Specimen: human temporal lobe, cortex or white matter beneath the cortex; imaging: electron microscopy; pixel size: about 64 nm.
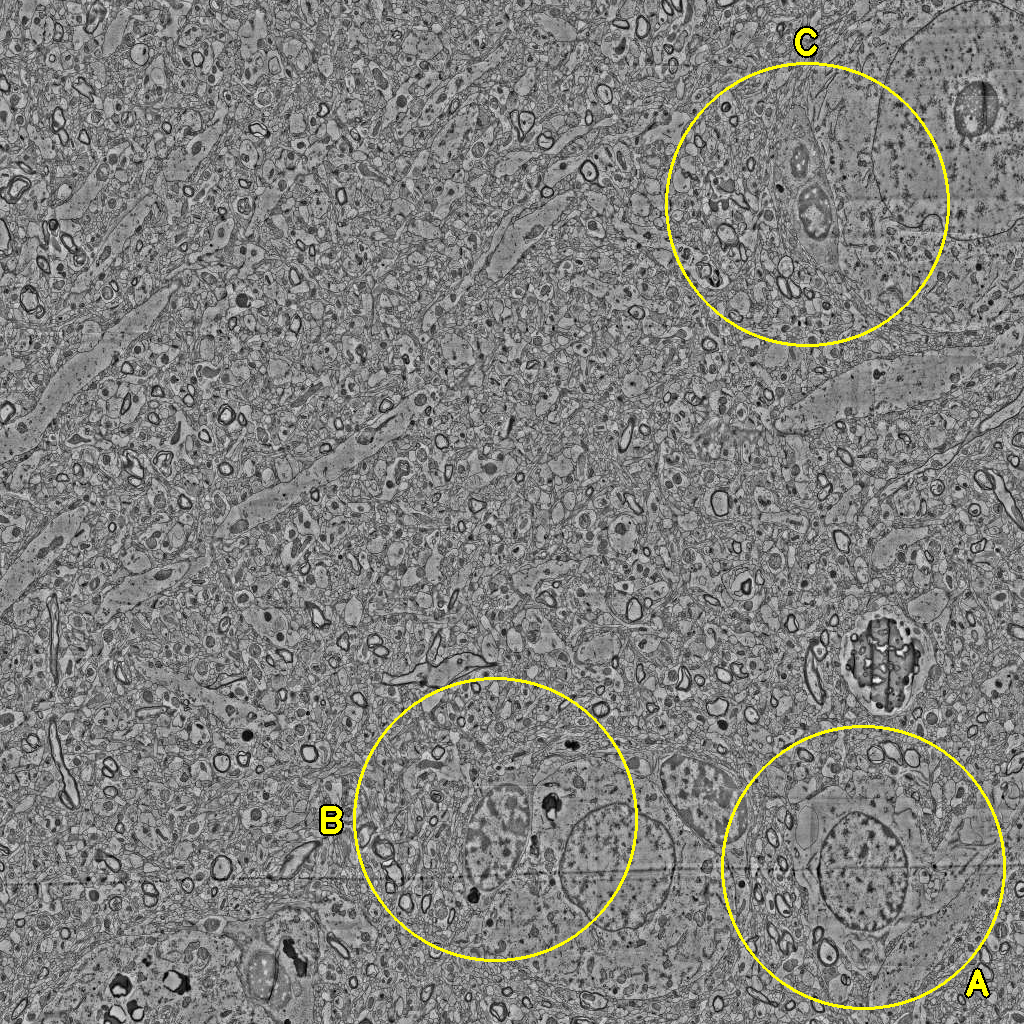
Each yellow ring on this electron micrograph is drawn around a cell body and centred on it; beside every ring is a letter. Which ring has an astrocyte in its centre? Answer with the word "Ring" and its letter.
Ring A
